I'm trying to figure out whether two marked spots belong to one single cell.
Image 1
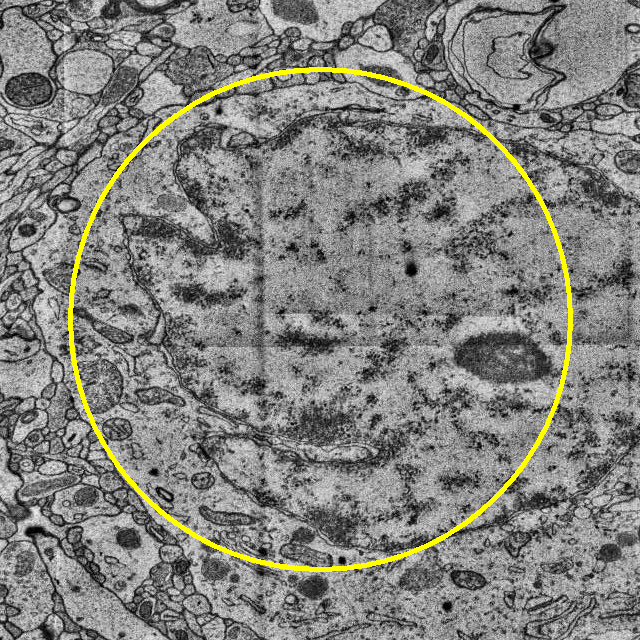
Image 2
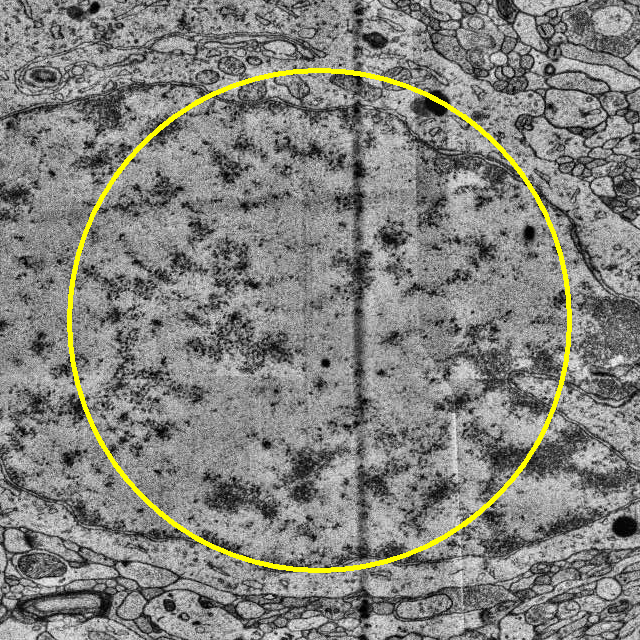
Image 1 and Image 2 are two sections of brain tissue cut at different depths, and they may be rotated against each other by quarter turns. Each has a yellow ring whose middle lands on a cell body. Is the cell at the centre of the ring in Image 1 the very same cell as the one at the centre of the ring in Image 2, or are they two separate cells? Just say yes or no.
yes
